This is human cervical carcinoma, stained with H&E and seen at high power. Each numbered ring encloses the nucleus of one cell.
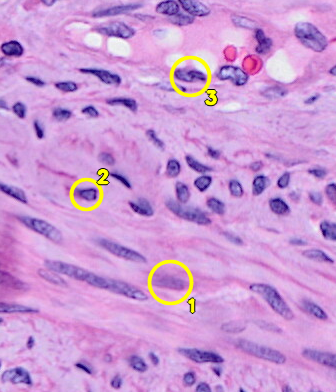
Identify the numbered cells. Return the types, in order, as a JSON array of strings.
["smooth muscle cell", "smooth muscle cell", "endothelial cell"]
